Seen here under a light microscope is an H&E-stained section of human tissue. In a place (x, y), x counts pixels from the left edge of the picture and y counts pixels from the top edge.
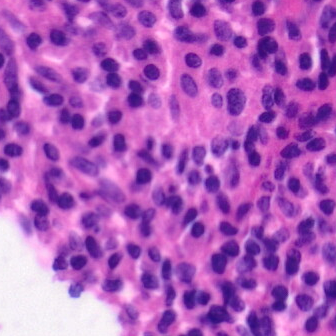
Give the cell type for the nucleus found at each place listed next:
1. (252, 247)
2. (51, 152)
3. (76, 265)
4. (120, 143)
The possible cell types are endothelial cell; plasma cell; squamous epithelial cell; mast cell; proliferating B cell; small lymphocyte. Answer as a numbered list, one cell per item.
1. small lymphocyte
2. plasma cell
3. plasma cell
4. plasma cell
